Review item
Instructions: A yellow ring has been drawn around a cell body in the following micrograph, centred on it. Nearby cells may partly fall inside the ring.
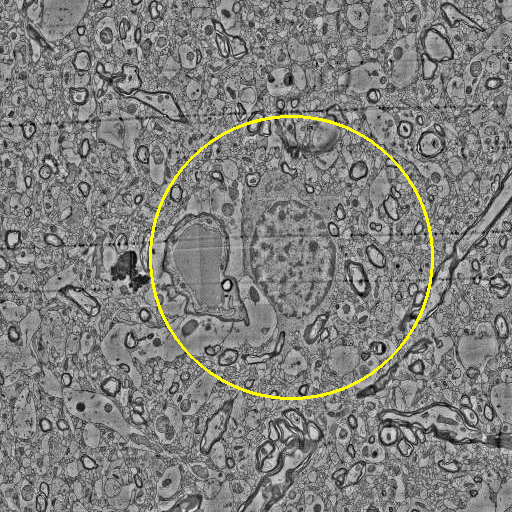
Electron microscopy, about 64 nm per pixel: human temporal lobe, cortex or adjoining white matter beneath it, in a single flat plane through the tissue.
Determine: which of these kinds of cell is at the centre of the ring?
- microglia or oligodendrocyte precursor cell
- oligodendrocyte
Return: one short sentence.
The cell body in the middle of the ring is that of an oligodendrocyte.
